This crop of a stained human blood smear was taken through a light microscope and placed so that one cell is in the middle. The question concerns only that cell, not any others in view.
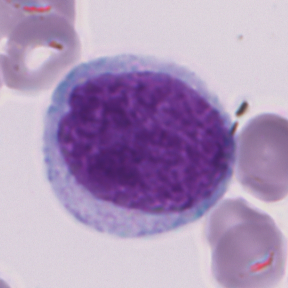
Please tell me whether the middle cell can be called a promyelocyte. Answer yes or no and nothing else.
yes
